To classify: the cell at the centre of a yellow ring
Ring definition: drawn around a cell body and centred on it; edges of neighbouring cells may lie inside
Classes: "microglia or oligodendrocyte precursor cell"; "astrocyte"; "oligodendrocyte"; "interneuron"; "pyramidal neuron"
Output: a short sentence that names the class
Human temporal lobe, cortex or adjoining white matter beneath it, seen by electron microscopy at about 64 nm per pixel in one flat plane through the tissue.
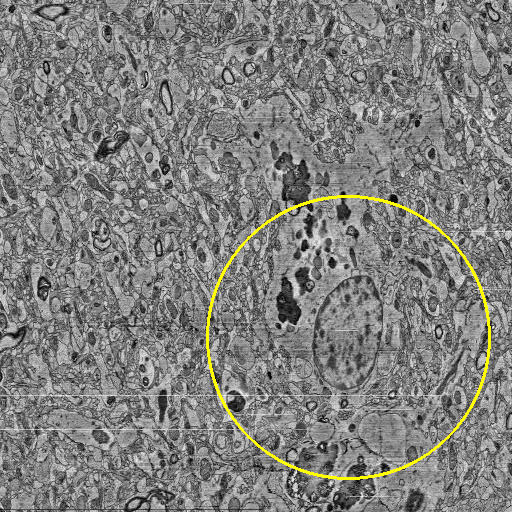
The ringed cell is an astrocyte.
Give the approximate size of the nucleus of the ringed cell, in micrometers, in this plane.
At approximately 7 by 4 micrometres, the nucleus is clearly longer than it is wide in this plane.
